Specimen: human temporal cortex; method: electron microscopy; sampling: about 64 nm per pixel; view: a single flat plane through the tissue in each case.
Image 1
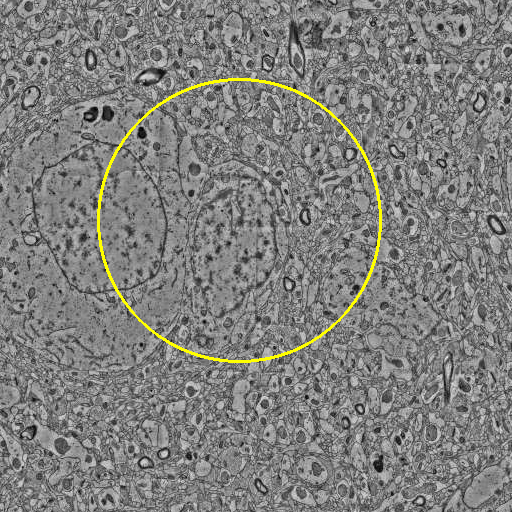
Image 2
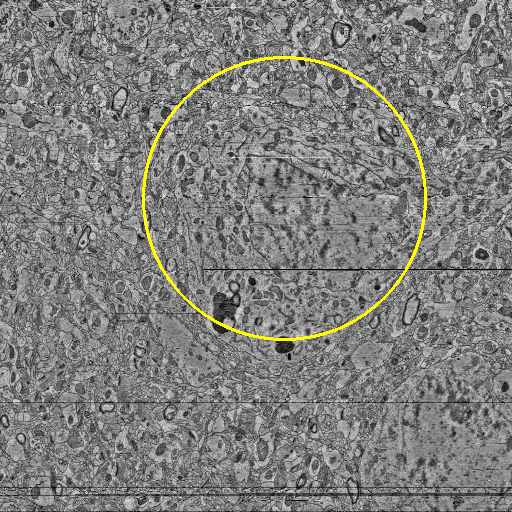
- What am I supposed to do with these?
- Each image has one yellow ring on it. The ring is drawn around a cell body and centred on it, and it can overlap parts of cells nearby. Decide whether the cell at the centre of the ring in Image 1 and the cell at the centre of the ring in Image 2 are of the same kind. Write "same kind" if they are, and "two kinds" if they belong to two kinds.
same kind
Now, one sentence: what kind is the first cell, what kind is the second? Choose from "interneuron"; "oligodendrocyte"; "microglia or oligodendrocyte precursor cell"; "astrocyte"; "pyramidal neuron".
The cell at the ring centre is an interneuron in both pictures.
